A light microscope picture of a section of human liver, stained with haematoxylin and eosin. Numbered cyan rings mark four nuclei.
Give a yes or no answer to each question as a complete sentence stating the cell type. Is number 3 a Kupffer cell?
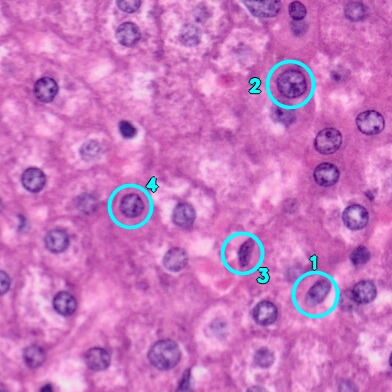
No, cell 3 has been misnamed; it is a fibroblast or stellate cell, not a Kupffer cell.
